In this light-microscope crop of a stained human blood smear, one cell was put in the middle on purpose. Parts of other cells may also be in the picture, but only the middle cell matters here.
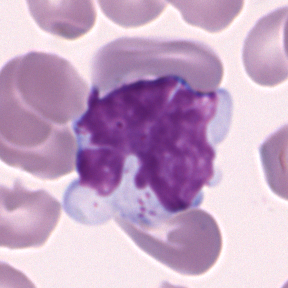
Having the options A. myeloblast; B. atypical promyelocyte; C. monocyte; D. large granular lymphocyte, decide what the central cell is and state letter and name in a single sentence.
The centrally located cell is a large granular lymphocyte, making option D the correct choice.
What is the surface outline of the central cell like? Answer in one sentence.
The periphery of this cell is uneven, with ragged portions or projections.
